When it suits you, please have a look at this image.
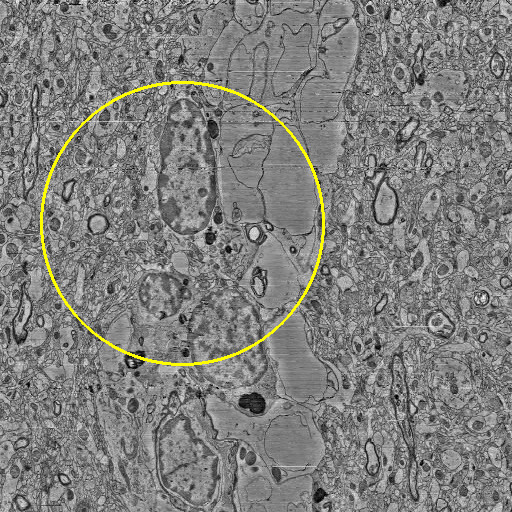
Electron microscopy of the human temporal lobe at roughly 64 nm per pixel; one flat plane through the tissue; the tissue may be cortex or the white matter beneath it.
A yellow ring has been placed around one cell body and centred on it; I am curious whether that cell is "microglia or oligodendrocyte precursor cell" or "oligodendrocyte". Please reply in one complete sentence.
The ringed cell, a microglial cell or oligodendrocyte precursor cell, has its body at the centre of the yellow ring.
